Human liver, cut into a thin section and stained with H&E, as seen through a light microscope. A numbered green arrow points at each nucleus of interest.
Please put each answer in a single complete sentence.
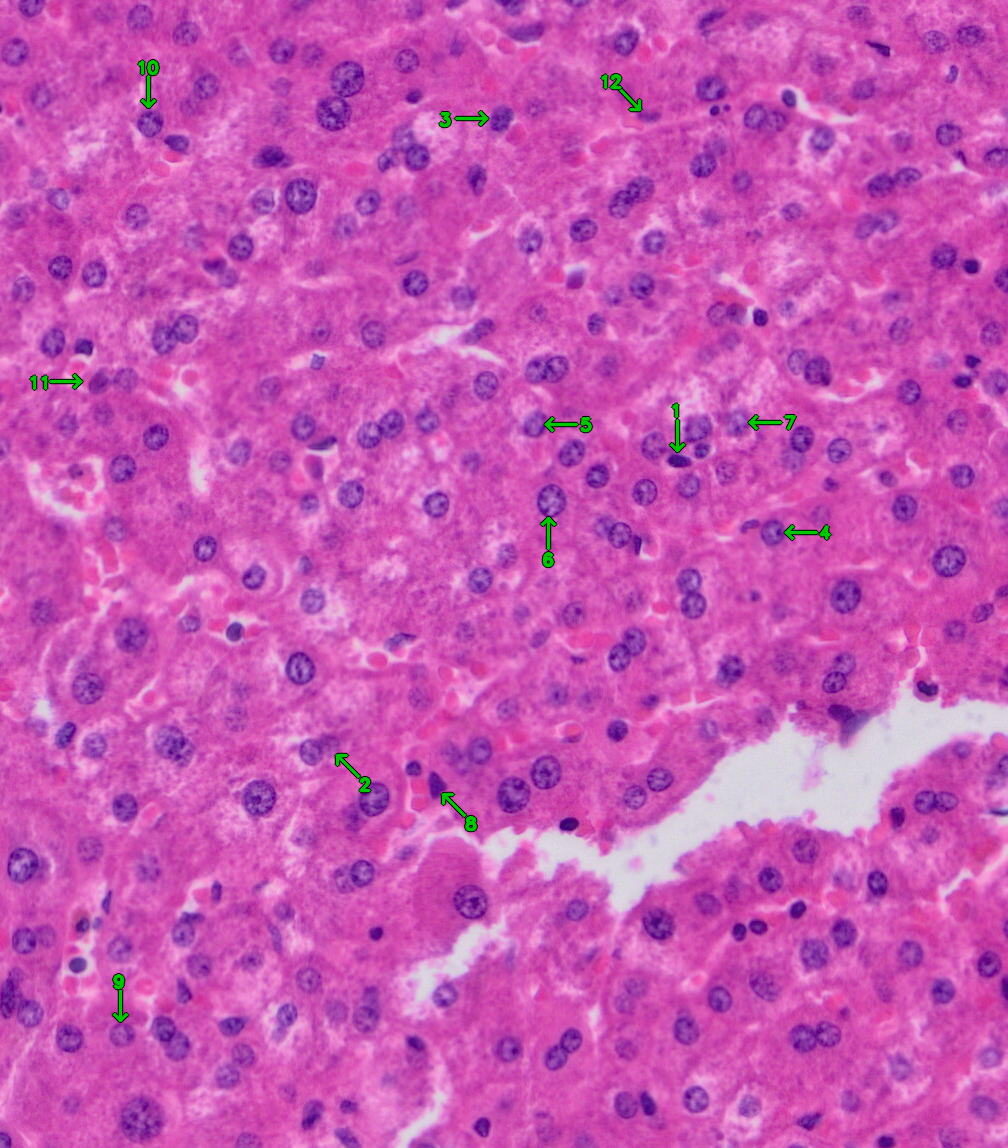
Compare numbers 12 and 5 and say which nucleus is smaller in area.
Number 12 is smaller, since number 5 takes up about 2 times as much area.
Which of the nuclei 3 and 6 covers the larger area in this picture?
It is nucleus 6, which covers about 1.5 times the area of nucleus 3.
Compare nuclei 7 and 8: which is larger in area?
Of the two, number 7 is bigger and takes up about 1.5 times the area of number 8.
